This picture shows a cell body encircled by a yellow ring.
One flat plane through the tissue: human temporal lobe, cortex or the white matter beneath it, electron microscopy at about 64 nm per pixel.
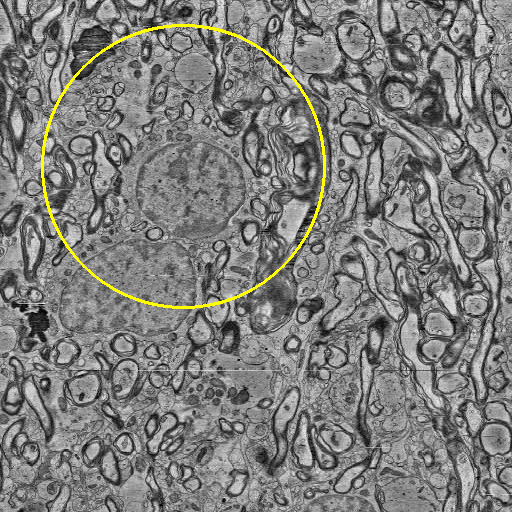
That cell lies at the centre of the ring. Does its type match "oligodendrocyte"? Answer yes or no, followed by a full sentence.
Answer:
Yes, in the picture, the ring surrounds a cell of that type at its centre.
